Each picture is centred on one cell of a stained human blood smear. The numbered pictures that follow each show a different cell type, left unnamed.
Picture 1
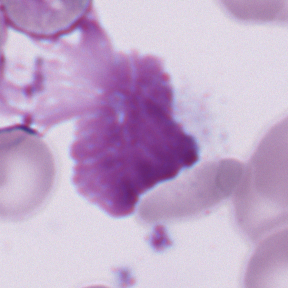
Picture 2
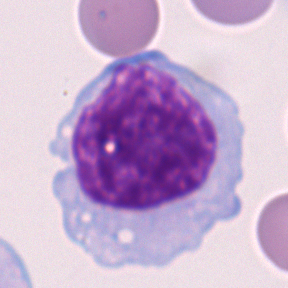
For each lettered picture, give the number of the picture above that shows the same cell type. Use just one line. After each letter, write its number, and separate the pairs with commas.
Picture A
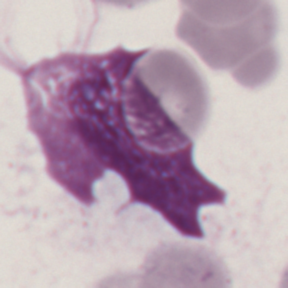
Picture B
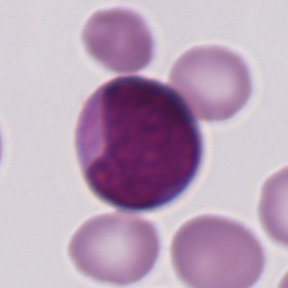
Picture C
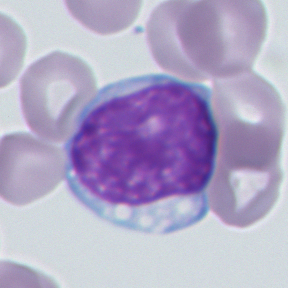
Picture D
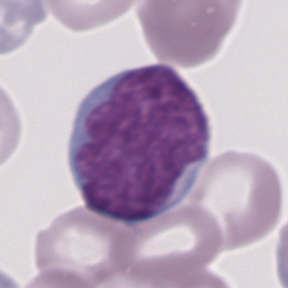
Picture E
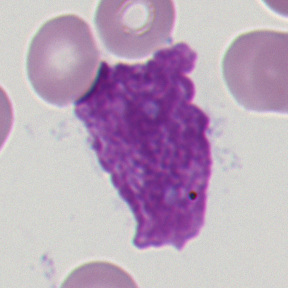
A 1, B 2, C 2, D 2, E 1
